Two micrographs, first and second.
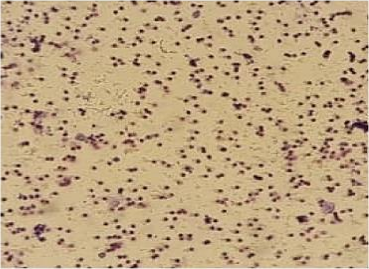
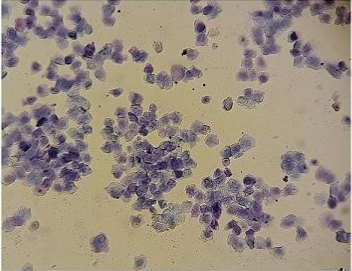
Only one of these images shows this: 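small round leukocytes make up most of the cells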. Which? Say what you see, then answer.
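The first image. First image: the field is crowded with small, dark, round cells and almost no large flat cells. Second image: the field is filled with large, flat, angular cells in clusters and shows almost no small round cells.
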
